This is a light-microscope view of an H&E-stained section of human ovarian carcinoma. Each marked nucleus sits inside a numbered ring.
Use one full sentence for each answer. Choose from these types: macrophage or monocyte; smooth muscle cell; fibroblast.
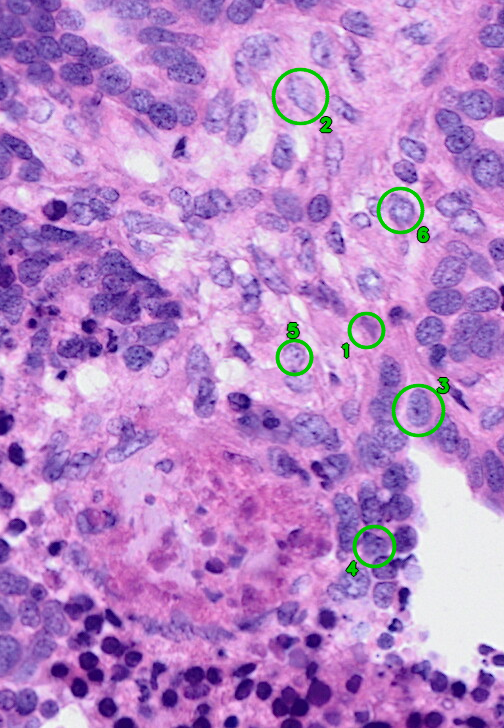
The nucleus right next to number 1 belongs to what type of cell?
Number 1 lies closest to the nucleus of a macrophage or monocyte.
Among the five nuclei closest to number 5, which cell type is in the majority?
The majority of the five nuclei closest to number 5 belong to fibroblasts.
